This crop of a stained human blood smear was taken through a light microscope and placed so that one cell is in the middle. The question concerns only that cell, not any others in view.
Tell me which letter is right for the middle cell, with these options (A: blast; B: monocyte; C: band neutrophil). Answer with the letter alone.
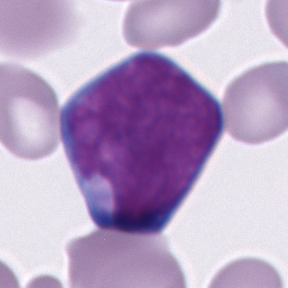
A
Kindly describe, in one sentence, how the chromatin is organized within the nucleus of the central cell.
In this cell the chromatin is fine rather than coarsely clumped.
